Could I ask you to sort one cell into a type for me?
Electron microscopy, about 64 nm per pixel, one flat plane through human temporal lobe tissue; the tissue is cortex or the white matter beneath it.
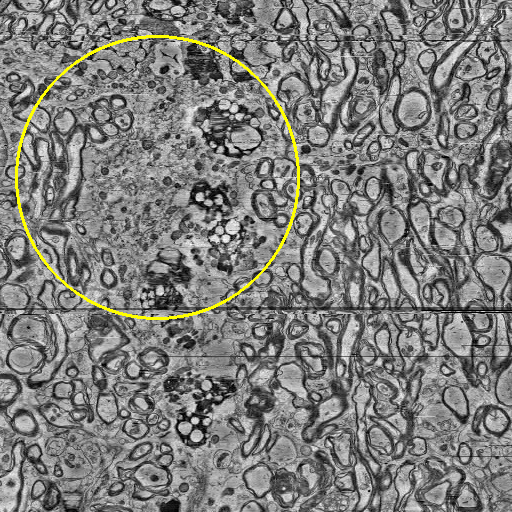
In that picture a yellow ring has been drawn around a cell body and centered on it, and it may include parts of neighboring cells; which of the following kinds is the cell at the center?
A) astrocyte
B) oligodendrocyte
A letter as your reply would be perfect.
A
